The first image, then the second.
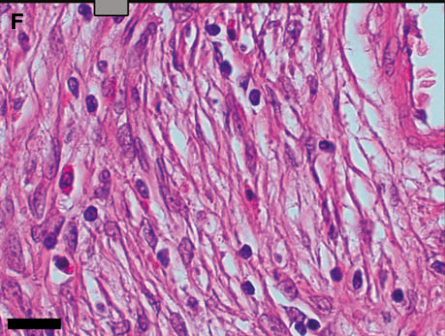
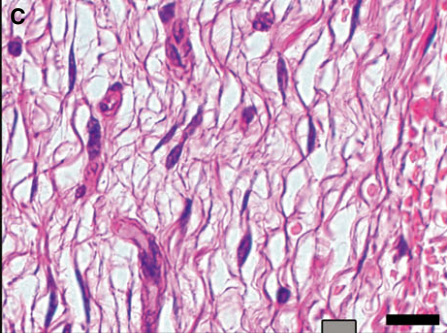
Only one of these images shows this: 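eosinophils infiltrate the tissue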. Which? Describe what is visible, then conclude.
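The first image. First image: several cells with bright red granular cytoplasm among the stromal cells.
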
